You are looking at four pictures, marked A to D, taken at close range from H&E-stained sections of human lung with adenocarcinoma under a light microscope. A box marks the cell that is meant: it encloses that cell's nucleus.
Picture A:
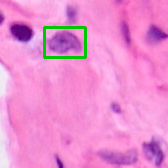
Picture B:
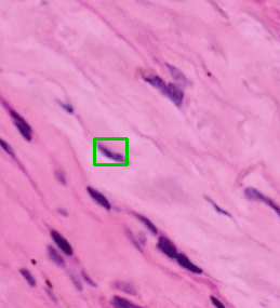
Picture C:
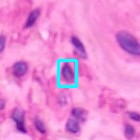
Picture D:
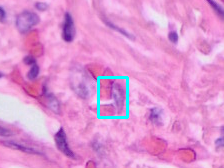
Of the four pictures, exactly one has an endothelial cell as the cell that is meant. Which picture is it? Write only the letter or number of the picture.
D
